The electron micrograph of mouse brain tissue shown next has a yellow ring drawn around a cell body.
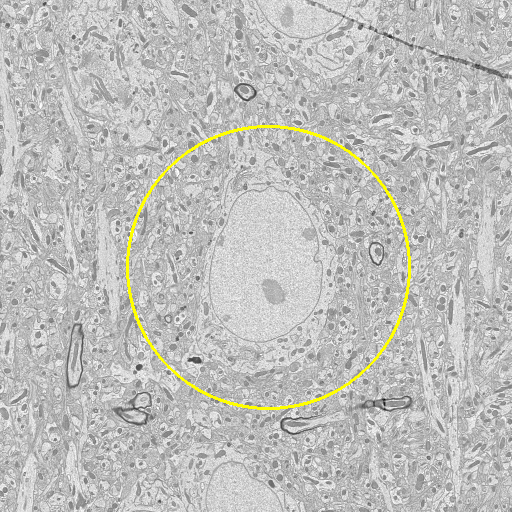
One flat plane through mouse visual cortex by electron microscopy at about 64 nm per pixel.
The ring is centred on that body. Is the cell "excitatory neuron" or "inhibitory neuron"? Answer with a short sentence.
The cell in question is an excitatory neuron.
